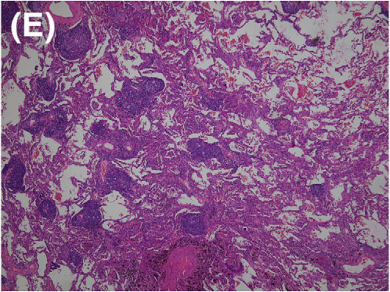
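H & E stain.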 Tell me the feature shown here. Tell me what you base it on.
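Lymphoid aggregates. Many dark purple nodules of densely packed small cells are scattered through the tissue. The nodules stand out against pinker surrounding lung.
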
